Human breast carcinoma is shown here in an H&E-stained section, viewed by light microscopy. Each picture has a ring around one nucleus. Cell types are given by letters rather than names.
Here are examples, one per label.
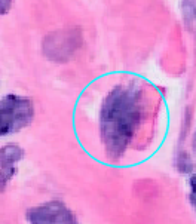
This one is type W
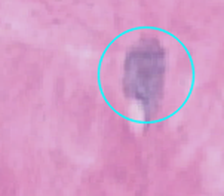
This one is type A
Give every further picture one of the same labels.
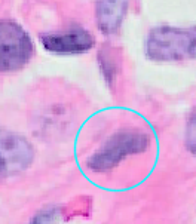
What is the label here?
type W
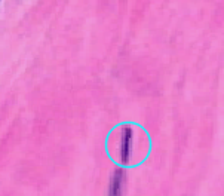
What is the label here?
type A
